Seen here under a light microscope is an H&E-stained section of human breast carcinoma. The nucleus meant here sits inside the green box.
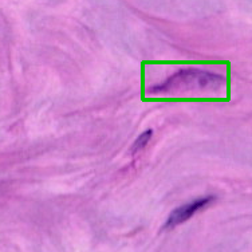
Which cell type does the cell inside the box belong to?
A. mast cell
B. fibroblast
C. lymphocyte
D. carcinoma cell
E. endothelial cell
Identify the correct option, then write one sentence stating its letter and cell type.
Given that the cell inside the box is a fibroblast, option B is the correct one.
